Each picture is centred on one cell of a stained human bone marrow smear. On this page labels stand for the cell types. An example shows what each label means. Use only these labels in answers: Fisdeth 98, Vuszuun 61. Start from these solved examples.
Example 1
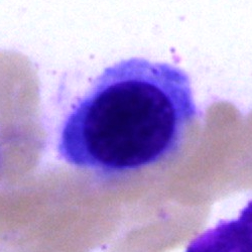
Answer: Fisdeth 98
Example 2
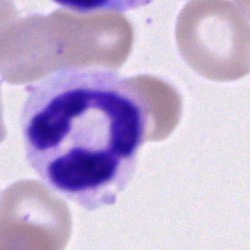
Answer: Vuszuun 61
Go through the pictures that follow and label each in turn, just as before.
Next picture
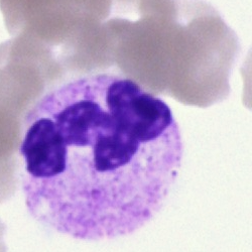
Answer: Vuszuun 61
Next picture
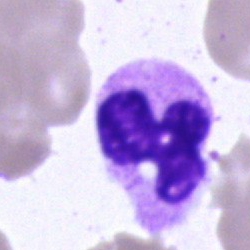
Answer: Vuszuun 61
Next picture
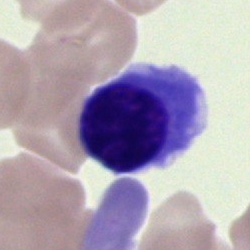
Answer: Fisdeth 98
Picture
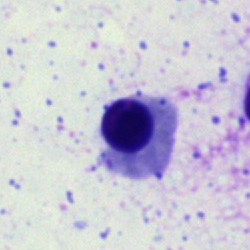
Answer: Fisdeth 98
